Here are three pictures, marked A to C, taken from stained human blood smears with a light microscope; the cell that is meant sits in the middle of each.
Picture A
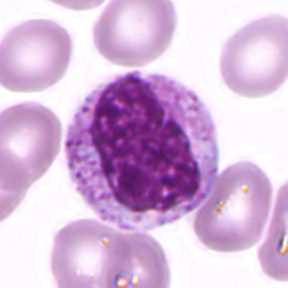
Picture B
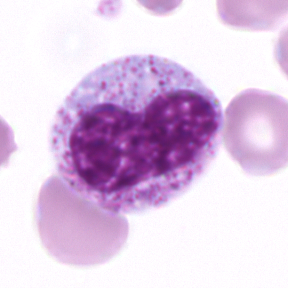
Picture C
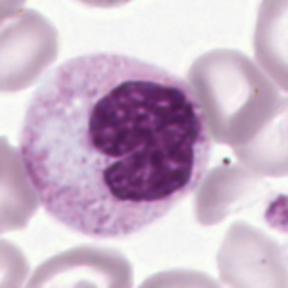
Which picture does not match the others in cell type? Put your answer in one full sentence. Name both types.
All pictures except A show band neutrophils; picture A shows a metamyelocyte.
